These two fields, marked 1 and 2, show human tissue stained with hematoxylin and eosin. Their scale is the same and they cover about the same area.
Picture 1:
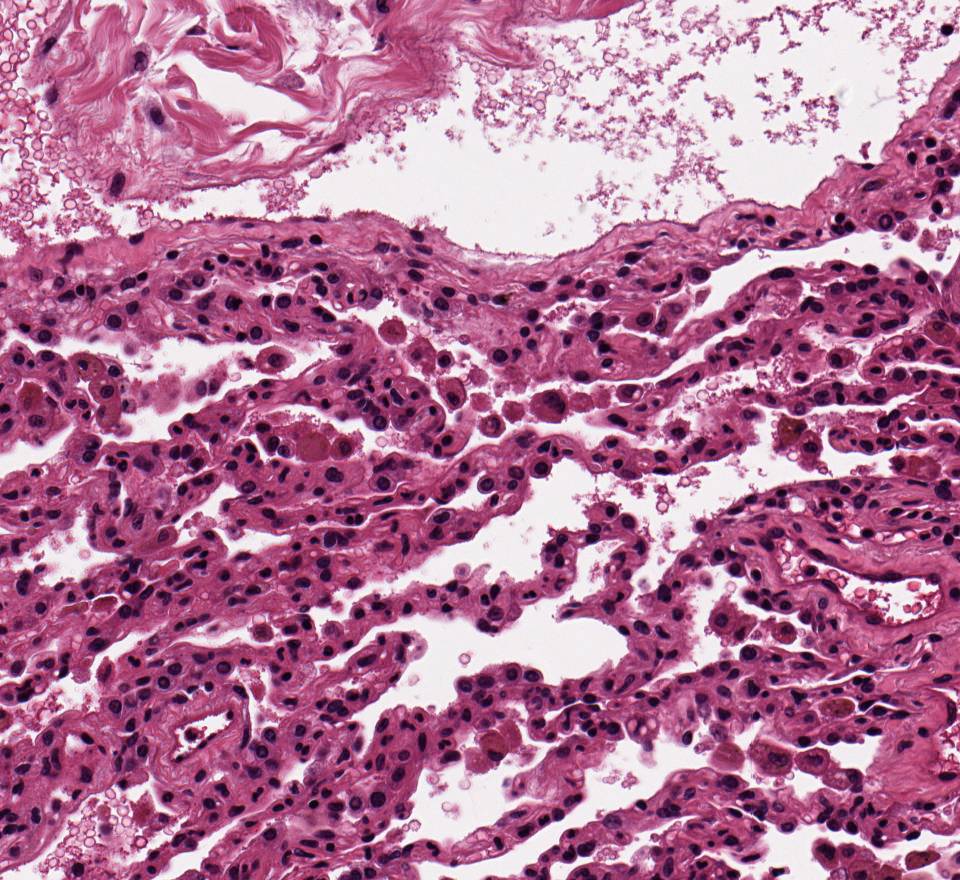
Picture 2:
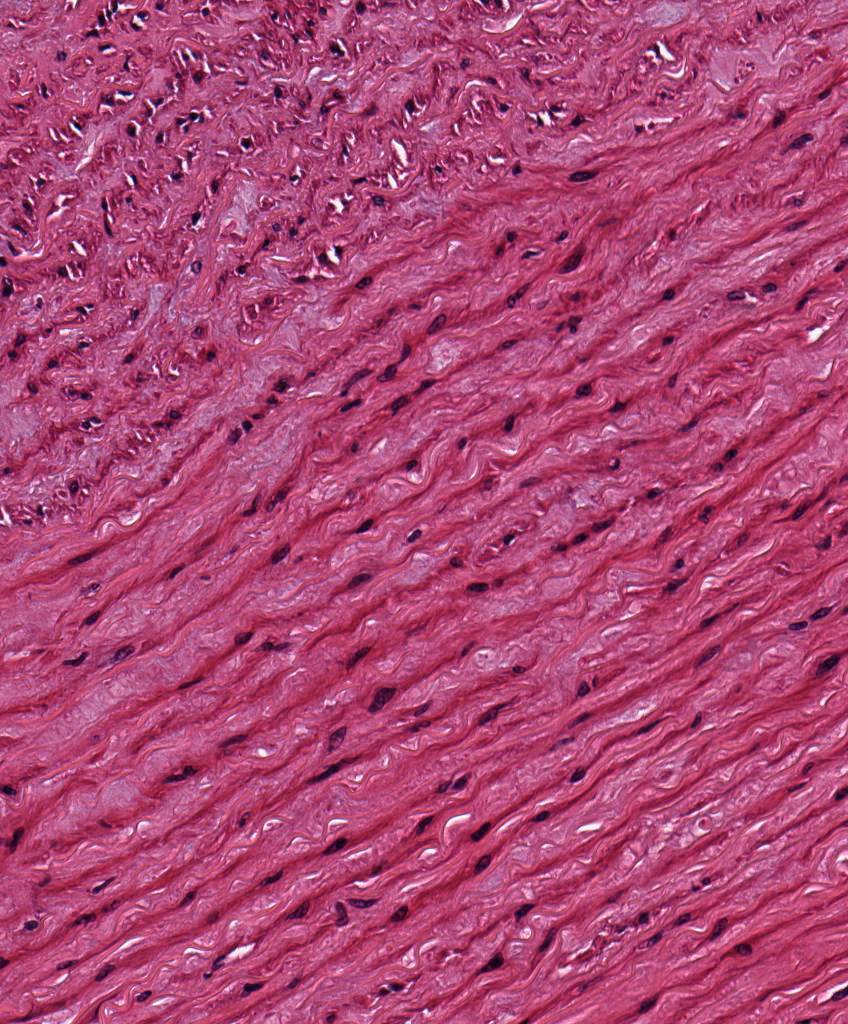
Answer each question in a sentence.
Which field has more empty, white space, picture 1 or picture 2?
More of picture 1 is empty and white.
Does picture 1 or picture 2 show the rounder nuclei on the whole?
On the whole the nuclei of picture 1 are rounder than those of picture 2.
